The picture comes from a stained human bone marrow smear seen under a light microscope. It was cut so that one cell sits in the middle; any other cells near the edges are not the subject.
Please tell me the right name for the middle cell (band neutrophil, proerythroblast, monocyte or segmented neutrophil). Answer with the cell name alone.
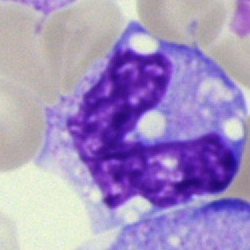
monocyte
